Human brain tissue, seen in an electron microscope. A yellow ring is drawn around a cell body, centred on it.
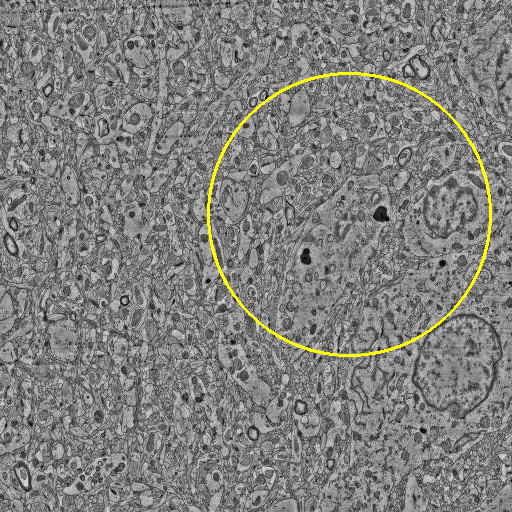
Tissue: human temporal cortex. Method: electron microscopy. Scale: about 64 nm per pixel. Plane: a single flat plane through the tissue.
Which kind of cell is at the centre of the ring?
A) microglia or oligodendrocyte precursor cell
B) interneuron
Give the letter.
B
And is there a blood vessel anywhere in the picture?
No, no blood vessel shows in the picture.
